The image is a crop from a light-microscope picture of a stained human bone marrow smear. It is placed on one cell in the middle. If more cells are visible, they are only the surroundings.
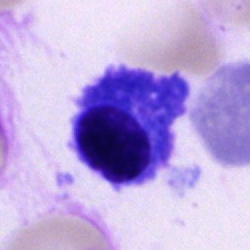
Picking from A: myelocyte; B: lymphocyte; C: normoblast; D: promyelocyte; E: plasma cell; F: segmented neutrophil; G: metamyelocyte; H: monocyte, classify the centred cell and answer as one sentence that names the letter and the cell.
As the central cell is a plasma cell, option E is correct.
